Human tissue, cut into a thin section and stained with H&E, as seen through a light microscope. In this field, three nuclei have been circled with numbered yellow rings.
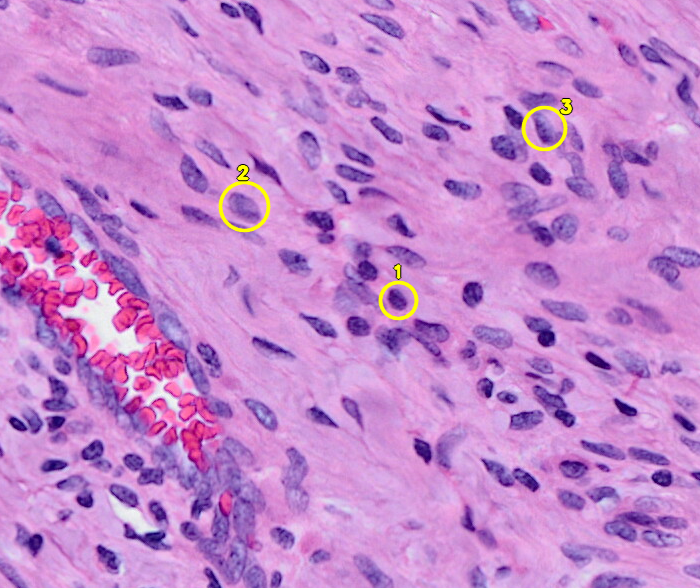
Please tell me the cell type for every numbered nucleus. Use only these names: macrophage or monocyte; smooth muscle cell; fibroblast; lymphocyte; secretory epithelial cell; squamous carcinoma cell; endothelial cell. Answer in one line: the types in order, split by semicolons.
lymphocyte; fibroblast; fibroblast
